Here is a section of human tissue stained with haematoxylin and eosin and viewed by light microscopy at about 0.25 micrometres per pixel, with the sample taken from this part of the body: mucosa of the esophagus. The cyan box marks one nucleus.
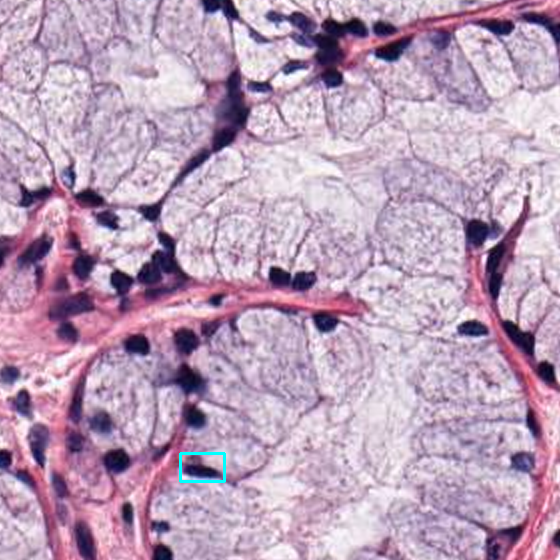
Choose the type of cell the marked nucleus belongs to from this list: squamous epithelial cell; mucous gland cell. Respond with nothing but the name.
mucous gland cell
